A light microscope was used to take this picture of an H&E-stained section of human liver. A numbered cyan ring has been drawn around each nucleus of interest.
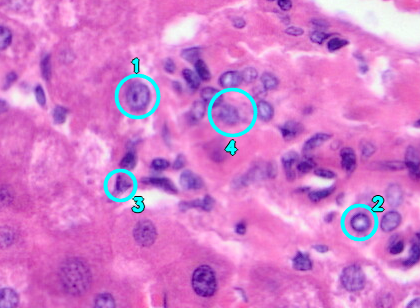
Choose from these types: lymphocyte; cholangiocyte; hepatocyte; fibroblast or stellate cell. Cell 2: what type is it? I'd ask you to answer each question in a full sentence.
Identified by the number 2, the cell is a cholangiocyte.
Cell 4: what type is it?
Classified as a cholangiocyte is the cell with the number 4.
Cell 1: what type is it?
Recognised here as a hepatocyte is the cell numbered 1.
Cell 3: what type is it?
Cell 3, among those numbered, is a fibroblast or stellate cell.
